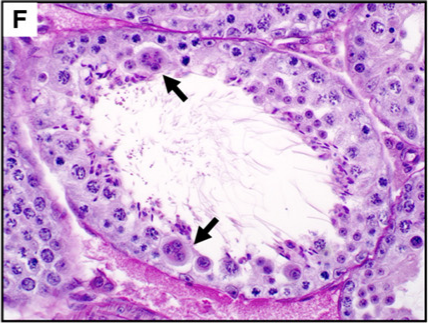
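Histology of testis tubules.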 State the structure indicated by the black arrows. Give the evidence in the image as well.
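Symplasts. The arrows point to large rounded cell bodies near the lumen. These bodies contain more than one nucleus.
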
